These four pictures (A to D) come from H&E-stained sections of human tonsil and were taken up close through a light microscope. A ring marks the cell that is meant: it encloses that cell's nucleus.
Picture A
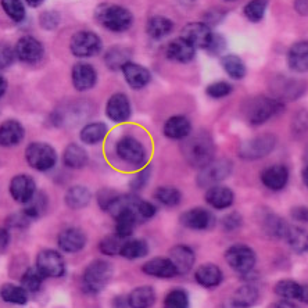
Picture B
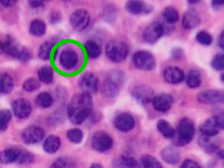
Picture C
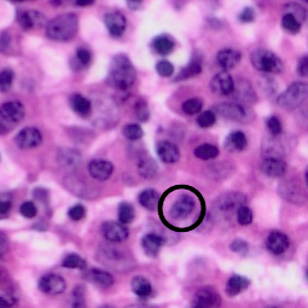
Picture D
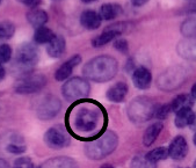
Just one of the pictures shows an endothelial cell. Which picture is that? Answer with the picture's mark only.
D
